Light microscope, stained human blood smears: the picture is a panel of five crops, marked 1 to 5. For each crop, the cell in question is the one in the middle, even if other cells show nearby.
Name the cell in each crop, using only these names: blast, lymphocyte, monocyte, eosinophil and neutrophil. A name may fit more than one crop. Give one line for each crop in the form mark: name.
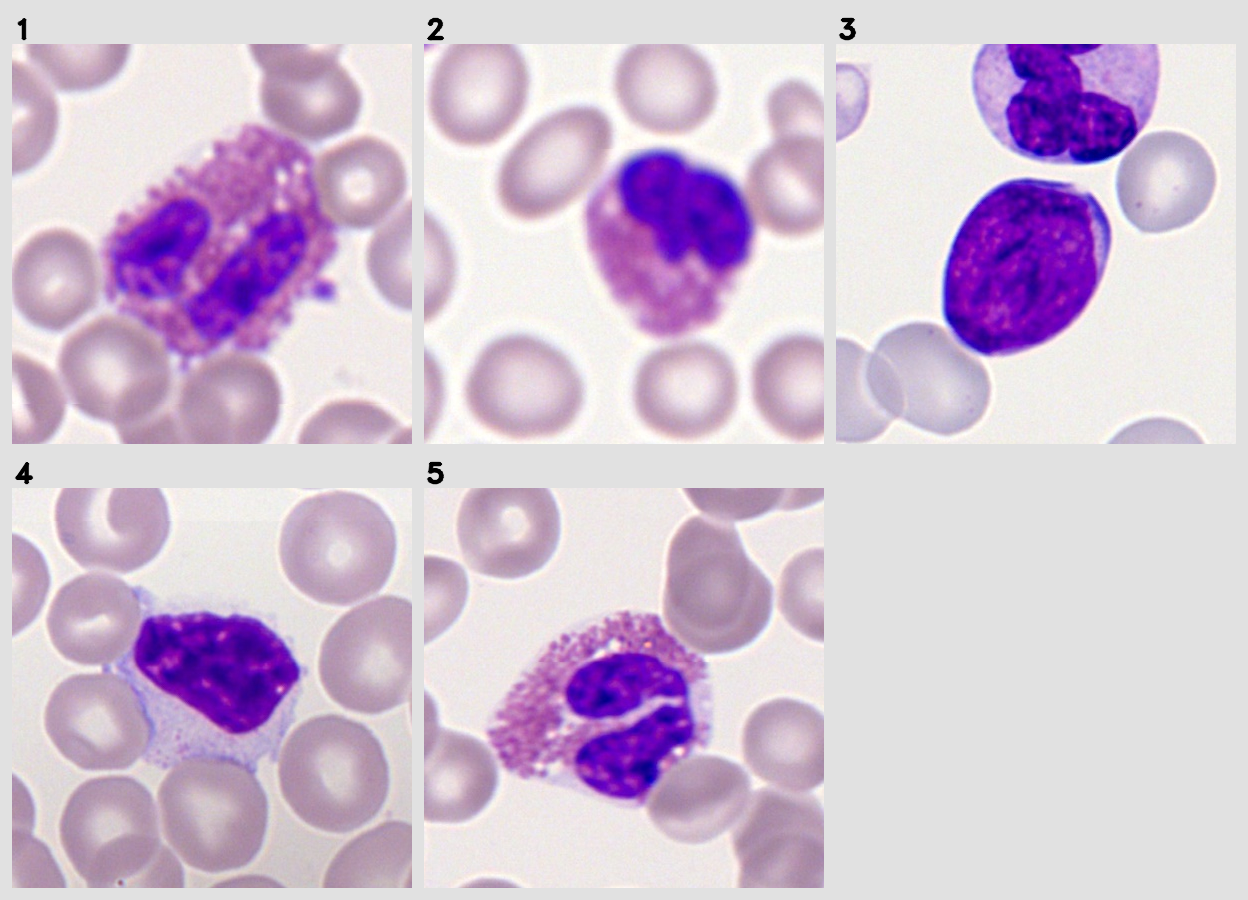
1: eosinophil
2: eosinophil
3: blast
4: lymphocyte
5: eosinophil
